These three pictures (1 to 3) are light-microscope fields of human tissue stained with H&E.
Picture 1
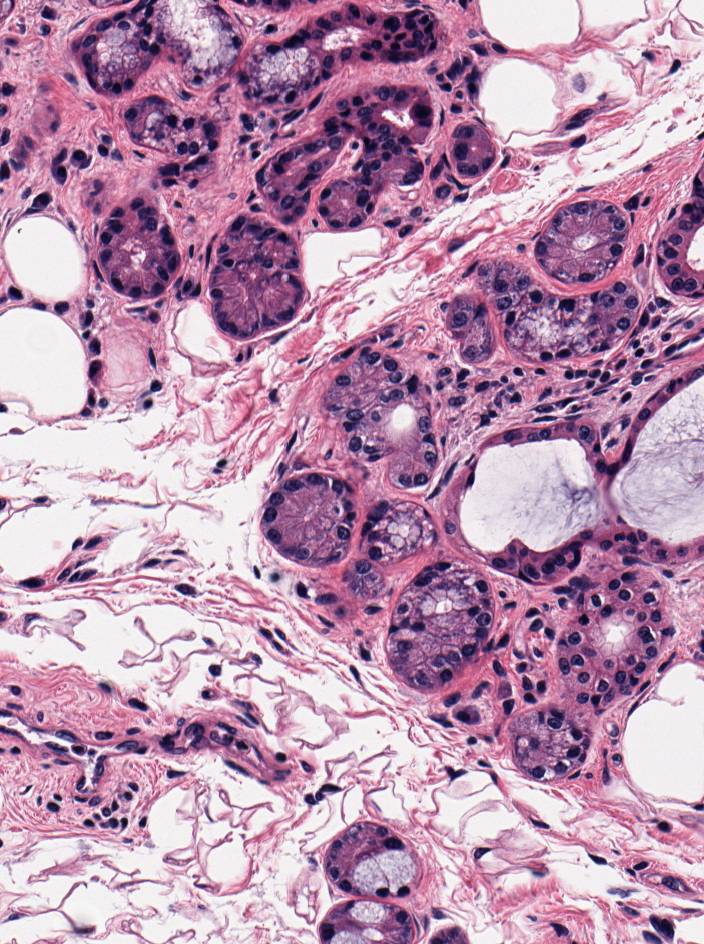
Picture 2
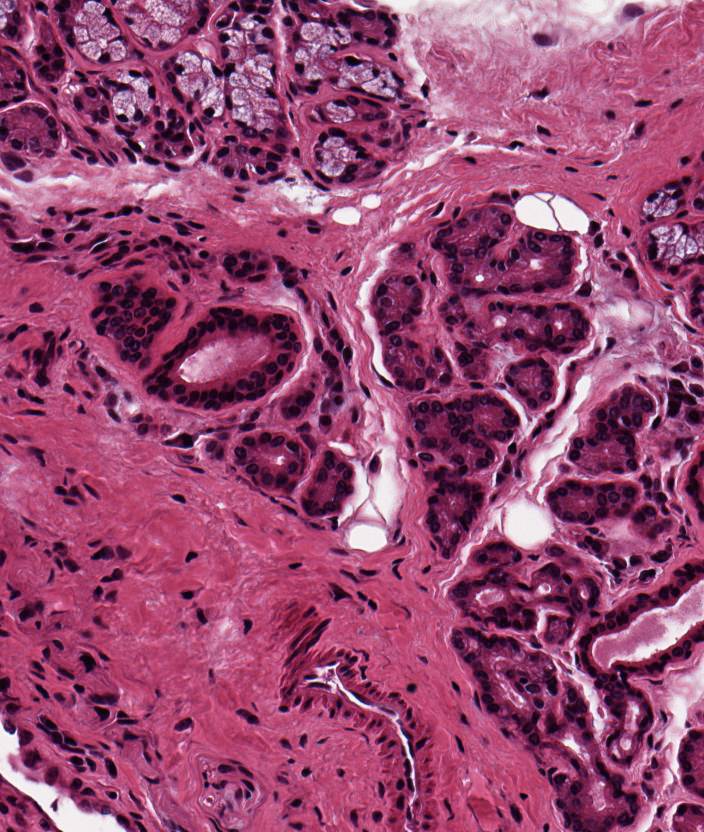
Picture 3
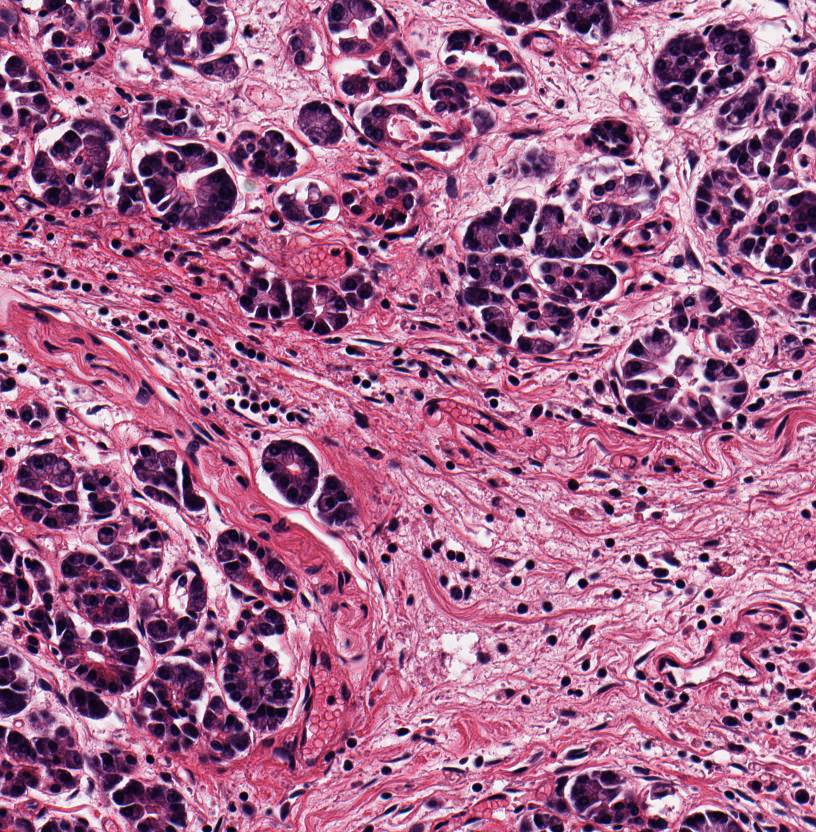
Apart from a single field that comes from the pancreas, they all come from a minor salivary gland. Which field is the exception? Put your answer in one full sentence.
The one that comes from the pancreas is picture 3.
